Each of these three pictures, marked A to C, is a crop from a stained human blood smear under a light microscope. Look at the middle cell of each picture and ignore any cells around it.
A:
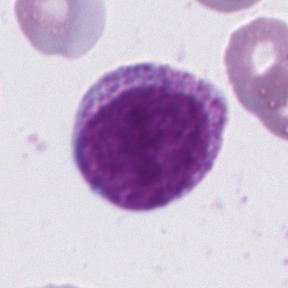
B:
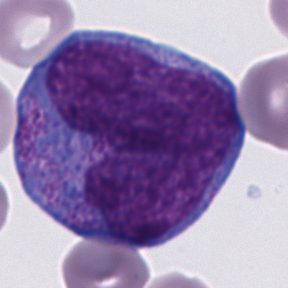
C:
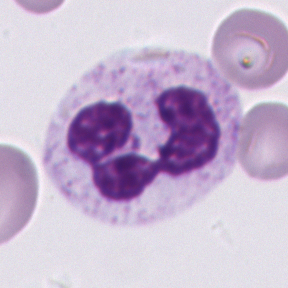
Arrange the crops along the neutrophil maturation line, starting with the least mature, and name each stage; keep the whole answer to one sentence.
From earliest stage to latest stage, the sequence is crop B (a promyelocyte), crop A (a myelocyte) and crop C (a segmented neutrophil).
